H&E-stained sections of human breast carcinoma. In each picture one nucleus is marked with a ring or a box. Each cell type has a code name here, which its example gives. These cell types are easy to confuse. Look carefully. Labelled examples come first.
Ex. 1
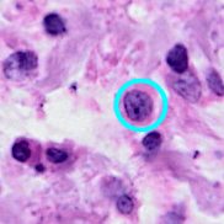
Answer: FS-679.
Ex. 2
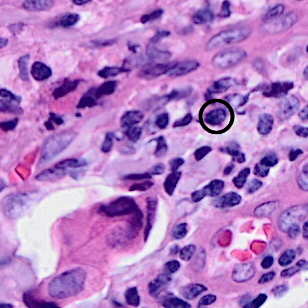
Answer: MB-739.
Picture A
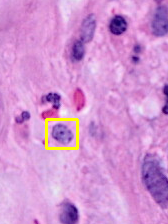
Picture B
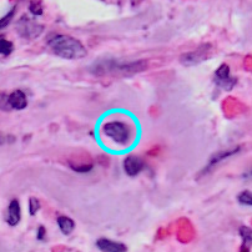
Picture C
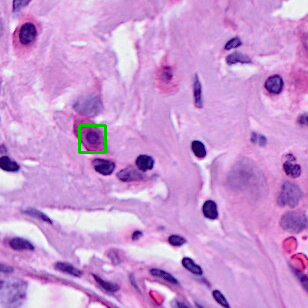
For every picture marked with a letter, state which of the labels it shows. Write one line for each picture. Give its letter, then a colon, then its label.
A: FS-679.
B: MB-739.
C: FS-679.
